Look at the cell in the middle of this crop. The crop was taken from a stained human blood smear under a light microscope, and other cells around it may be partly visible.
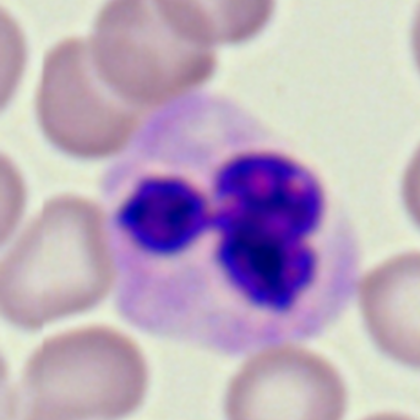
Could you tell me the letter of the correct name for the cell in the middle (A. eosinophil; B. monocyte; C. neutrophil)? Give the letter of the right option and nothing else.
C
